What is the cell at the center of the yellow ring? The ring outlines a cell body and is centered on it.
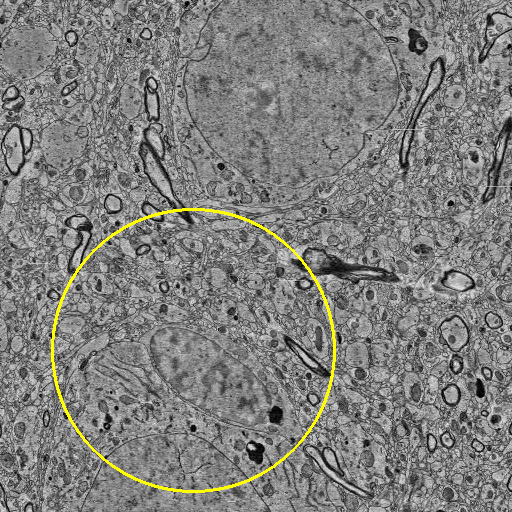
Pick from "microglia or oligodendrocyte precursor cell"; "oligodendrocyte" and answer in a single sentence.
The yellow ring is centered on an oligodendrocyte.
